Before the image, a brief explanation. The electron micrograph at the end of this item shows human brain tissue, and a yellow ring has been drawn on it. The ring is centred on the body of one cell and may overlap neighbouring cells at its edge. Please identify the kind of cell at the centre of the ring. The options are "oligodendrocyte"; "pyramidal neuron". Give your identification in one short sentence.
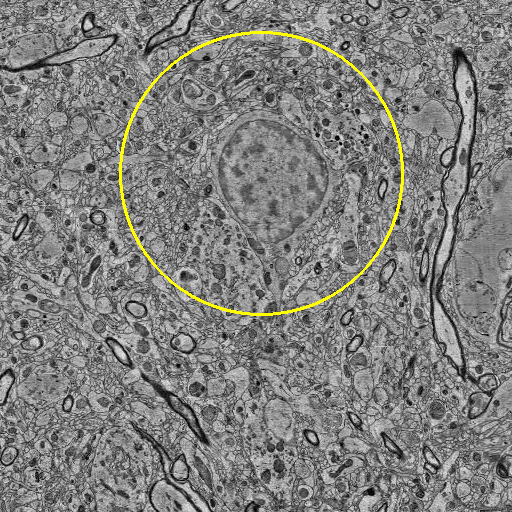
The ring has been placed around an oligodendrocyte.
